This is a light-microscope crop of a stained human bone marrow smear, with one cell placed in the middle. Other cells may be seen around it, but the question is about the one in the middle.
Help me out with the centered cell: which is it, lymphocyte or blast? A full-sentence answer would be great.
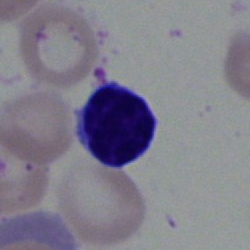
The centrally placed cell is classified as a lymphocyte.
